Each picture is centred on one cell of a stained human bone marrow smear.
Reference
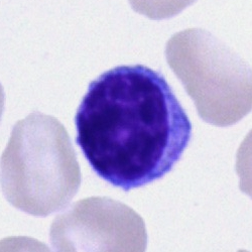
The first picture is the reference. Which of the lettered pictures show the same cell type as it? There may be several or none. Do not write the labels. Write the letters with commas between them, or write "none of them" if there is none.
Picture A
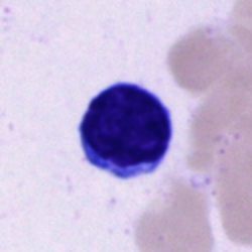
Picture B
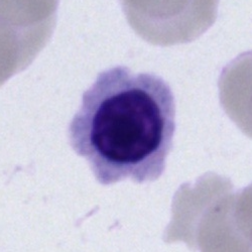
A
